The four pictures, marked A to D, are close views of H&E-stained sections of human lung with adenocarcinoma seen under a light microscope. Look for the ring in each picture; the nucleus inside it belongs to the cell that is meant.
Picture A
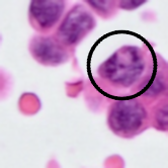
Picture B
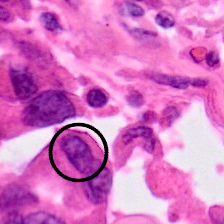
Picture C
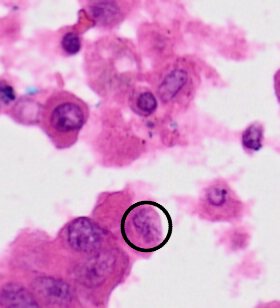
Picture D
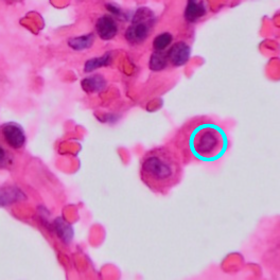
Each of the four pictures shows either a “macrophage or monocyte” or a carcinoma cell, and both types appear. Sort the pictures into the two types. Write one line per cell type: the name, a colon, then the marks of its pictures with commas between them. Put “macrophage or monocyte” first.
macrophage or monocyte: D
carcinoma cell: A, B, C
